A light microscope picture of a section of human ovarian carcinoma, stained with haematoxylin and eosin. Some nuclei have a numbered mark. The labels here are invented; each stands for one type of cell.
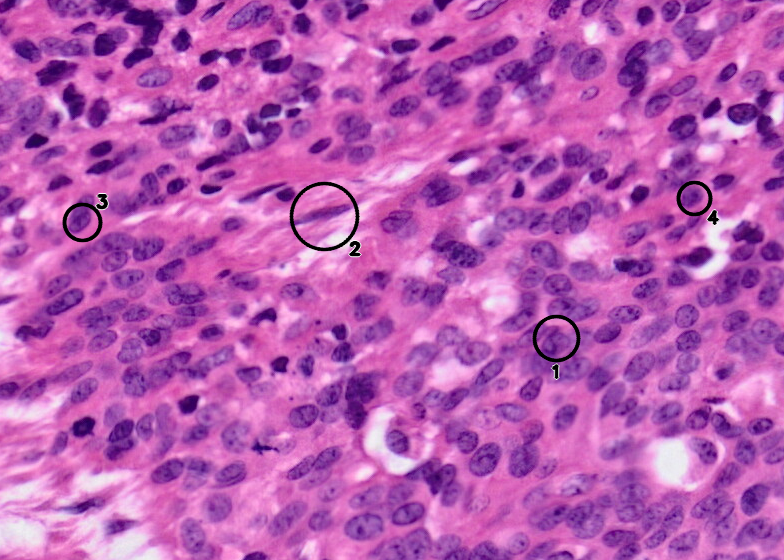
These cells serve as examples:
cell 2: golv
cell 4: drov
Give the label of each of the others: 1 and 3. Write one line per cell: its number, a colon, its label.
1: drov
3: drov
